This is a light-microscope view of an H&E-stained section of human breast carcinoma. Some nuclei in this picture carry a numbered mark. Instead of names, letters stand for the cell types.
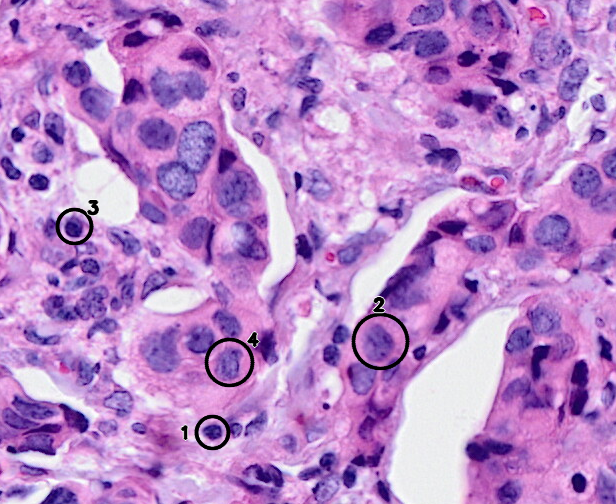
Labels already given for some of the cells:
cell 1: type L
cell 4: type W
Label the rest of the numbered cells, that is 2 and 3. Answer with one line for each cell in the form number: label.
2: type W
3: type L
